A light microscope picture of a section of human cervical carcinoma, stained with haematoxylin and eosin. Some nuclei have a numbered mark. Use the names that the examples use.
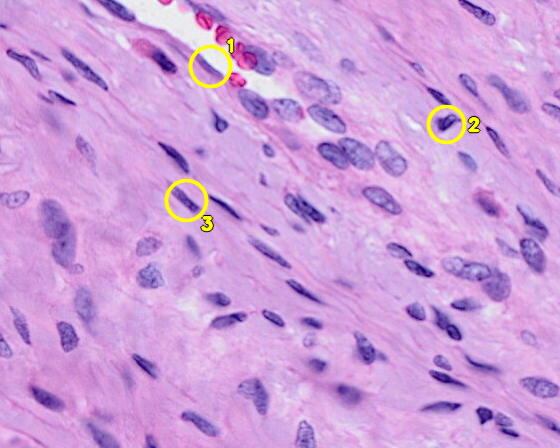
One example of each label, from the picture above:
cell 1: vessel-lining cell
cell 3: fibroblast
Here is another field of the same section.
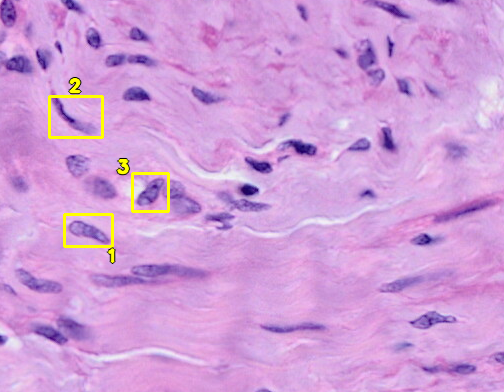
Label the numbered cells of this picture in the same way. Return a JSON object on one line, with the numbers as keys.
{"1": "fibroblast", "2": "fibroblast", "3": "vessel-lining cell"}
